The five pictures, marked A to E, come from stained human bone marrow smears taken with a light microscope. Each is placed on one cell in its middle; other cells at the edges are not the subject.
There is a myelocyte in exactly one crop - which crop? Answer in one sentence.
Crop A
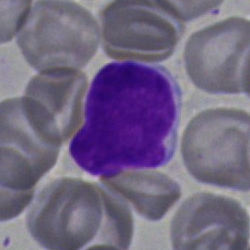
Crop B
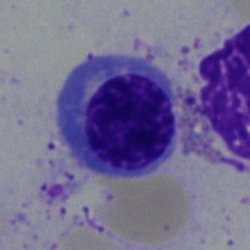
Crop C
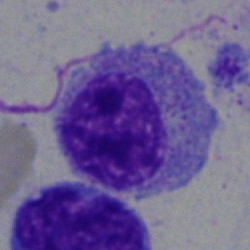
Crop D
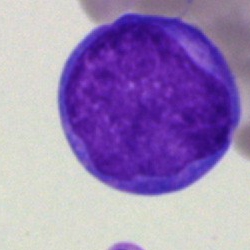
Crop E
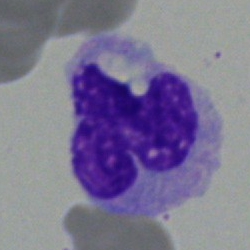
The crop with a myelocyte at its center is crop C.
